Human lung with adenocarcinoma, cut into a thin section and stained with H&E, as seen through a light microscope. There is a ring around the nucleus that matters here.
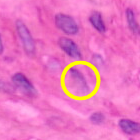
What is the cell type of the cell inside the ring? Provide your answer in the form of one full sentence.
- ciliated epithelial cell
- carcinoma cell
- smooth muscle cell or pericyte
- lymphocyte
In this tissue sample, the cell inside the ring is a smooth muscle cell or pericyte.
